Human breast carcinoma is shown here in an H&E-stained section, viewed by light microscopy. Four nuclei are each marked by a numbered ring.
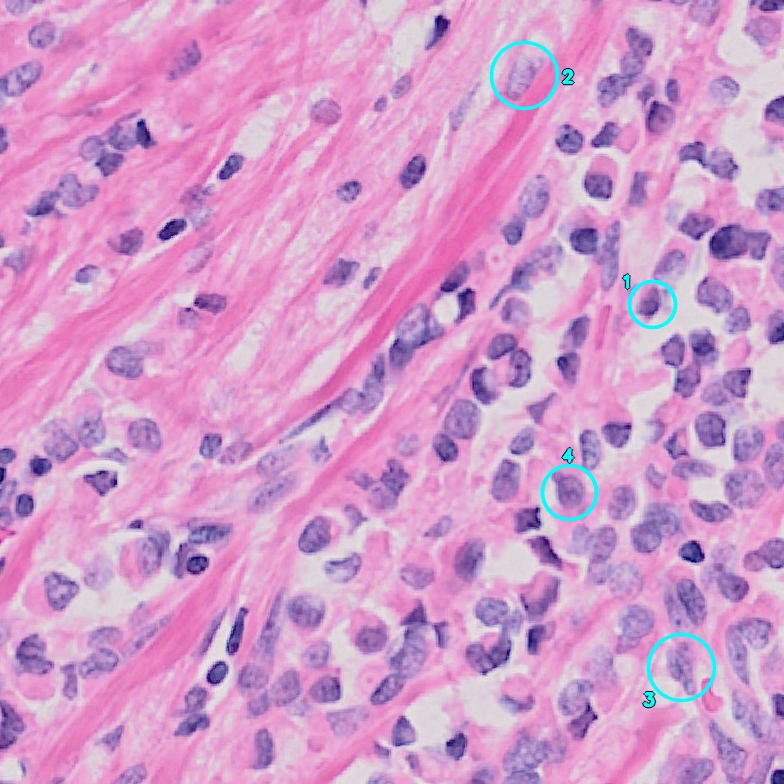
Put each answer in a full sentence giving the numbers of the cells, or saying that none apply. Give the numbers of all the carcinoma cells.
Into the category of carcinoma cells fall the cells numbered 1 and 4.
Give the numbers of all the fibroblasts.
Only the cell marked 2 is a fibroblast.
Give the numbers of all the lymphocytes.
Of the numbered cells, none are lymphocytes.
